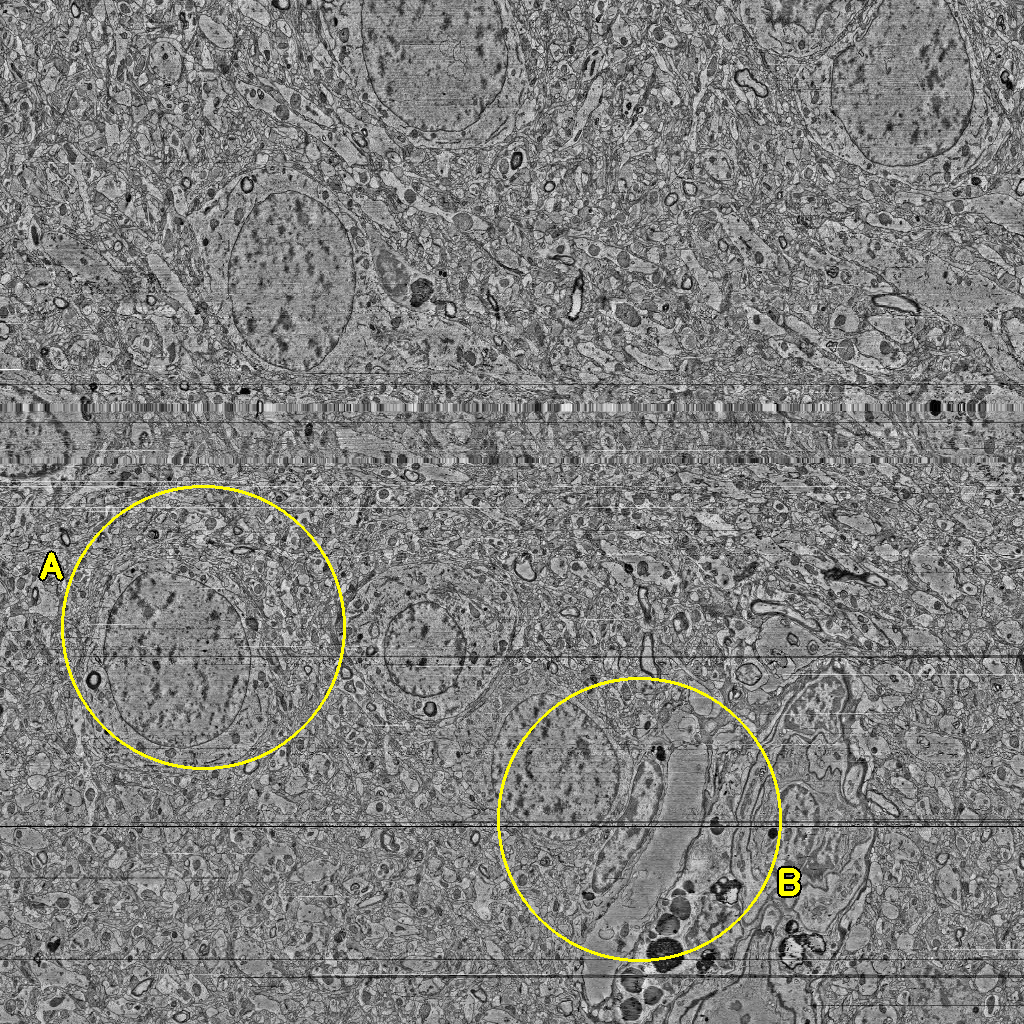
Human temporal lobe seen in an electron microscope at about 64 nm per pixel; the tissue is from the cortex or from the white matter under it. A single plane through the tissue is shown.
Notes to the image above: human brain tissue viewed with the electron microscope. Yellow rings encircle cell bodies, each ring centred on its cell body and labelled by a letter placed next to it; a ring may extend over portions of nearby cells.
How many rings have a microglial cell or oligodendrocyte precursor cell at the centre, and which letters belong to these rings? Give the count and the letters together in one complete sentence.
Just one yellow ring in the micrograph centres on a microglial cell or oligodendrocyte precursor cell, and it is labelled B.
